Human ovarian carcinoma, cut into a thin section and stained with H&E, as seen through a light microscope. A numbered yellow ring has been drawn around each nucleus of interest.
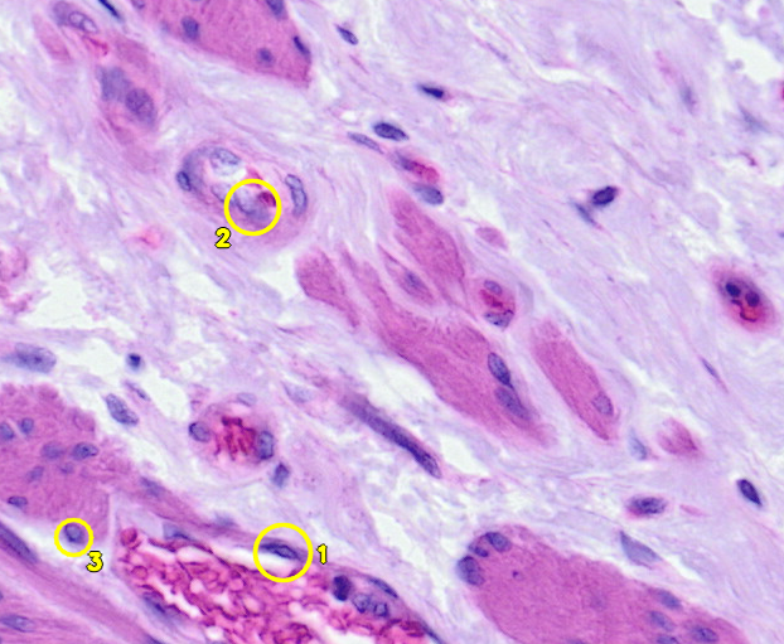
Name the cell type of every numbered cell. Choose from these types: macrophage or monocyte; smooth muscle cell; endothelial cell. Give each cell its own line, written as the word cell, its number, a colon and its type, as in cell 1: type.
cell 1: endothelial cell
cell 2: endothelial cell
cell 3: smooth muscle cell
